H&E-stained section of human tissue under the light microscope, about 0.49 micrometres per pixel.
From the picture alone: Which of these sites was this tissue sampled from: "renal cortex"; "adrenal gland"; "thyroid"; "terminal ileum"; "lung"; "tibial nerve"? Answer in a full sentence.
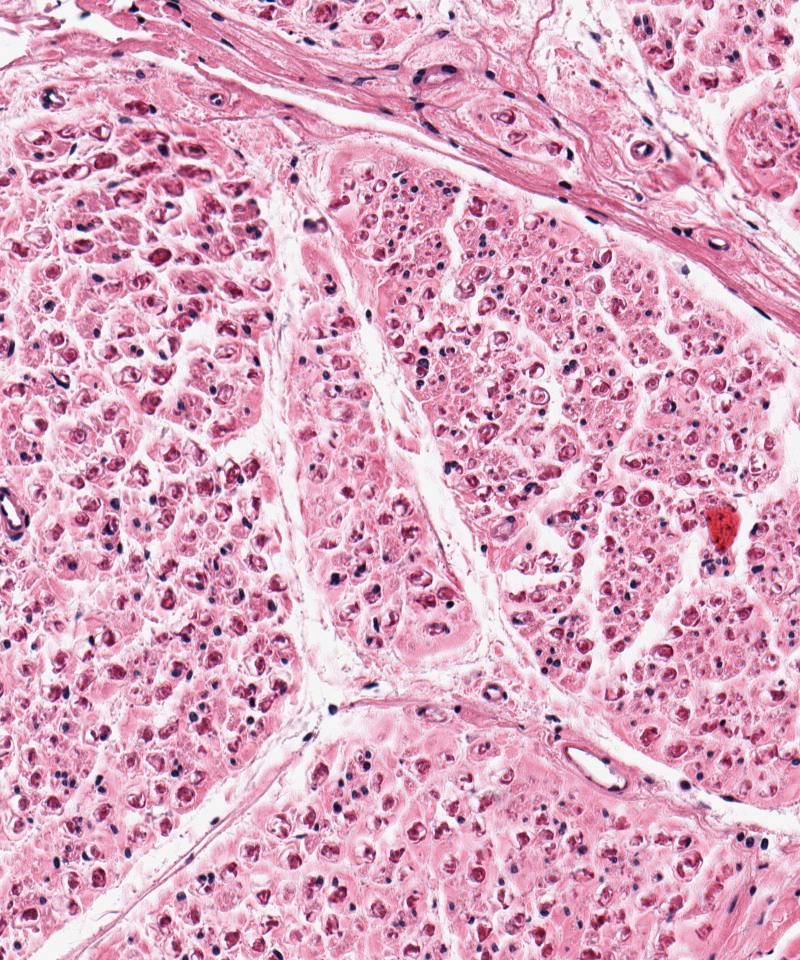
The site this tissue was sampled from is the tibial nerve.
